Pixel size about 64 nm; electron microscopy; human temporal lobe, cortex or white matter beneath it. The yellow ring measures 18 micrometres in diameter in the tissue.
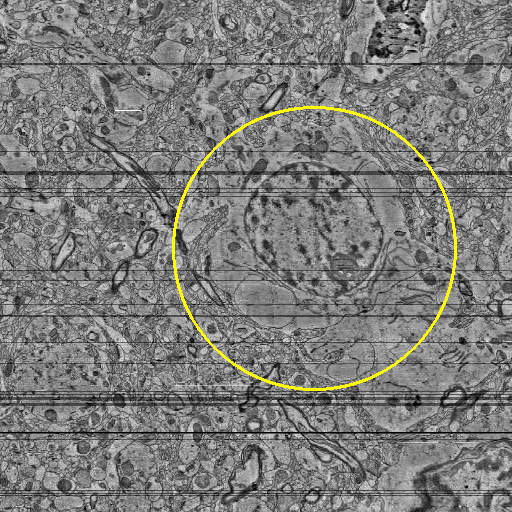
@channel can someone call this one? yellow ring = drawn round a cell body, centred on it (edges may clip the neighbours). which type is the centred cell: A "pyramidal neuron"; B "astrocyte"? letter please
B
